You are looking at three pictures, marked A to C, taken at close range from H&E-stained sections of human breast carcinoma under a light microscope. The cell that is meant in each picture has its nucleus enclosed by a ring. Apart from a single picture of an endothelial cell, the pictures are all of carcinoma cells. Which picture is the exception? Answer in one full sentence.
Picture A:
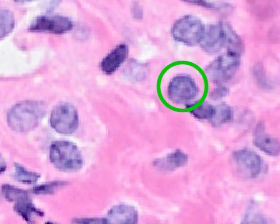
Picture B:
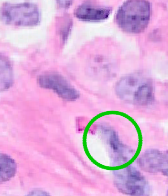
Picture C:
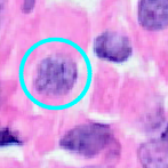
The endothelial cell is the one in picture B.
